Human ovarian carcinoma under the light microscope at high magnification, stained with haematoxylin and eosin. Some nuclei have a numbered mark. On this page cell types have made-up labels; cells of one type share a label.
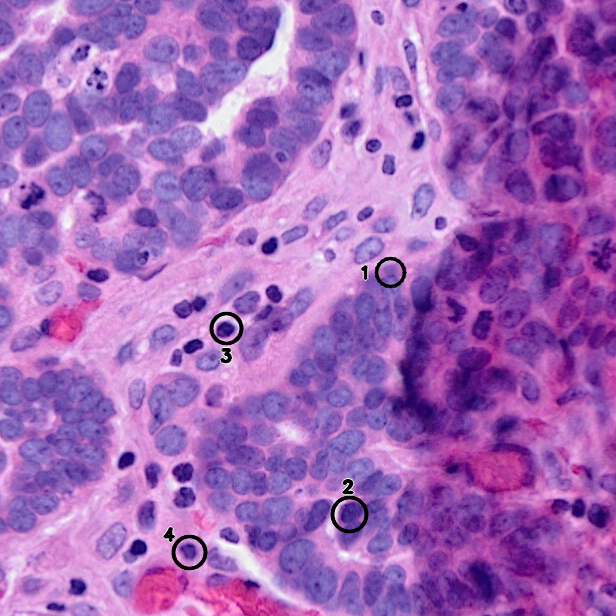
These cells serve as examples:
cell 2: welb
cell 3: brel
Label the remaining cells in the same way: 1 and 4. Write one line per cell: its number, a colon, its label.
1: welb
4: brel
